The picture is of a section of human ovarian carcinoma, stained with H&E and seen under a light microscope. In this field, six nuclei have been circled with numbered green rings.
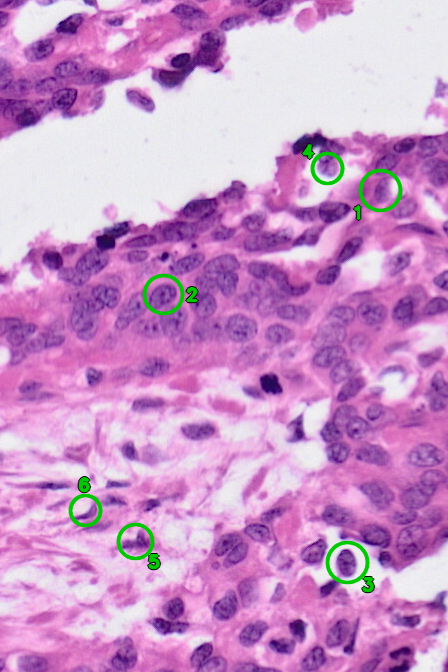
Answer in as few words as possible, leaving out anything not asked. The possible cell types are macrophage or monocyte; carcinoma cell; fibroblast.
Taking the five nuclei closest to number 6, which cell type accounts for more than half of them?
fibroblast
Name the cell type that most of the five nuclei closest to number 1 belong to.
carcinoma cell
